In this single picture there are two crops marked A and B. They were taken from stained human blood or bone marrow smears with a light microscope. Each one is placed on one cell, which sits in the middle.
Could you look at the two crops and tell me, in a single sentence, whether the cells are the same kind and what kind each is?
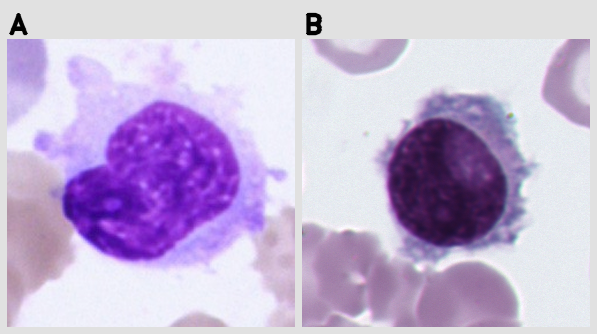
Yes, hairy cells are the cells in the middle of both crops.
